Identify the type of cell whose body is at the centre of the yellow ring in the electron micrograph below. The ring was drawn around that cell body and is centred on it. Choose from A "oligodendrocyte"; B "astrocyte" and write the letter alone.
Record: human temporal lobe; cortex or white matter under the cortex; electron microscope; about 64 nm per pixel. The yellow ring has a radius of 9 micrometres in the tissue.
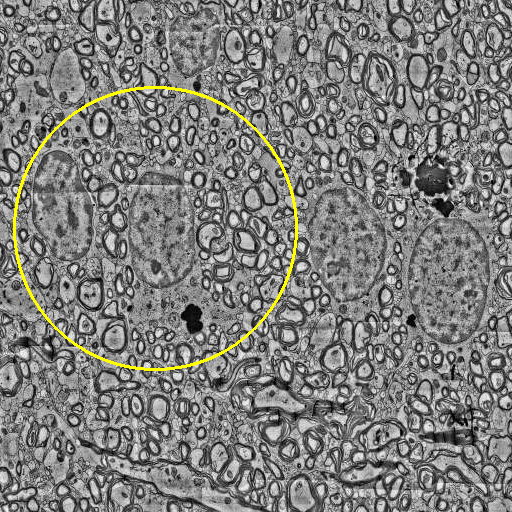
A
